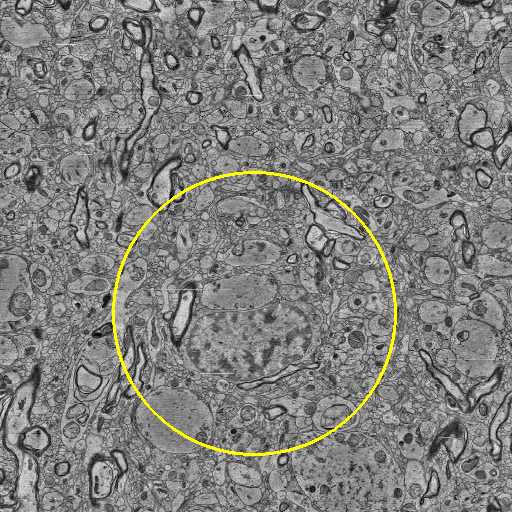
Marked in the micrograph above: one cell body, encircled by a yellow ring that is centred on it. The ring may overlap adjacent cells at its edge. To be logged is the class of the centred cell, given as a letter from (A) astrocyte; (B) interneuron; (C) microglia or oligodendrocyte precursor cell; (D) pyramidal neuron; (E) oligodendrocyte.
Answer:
E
